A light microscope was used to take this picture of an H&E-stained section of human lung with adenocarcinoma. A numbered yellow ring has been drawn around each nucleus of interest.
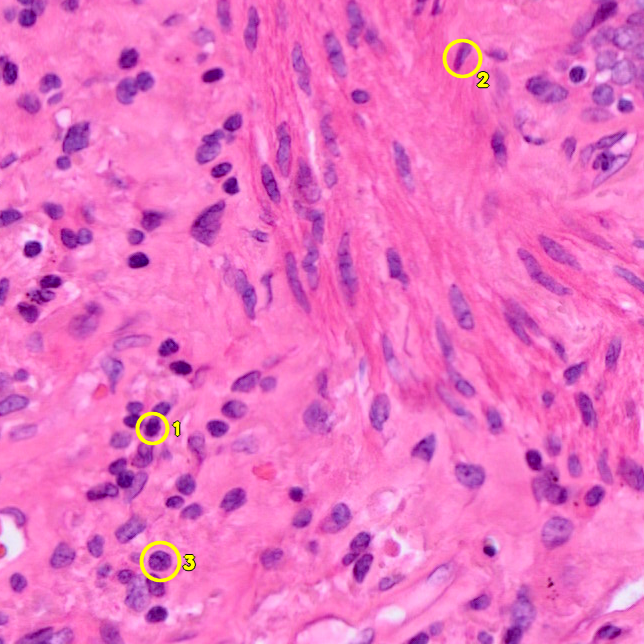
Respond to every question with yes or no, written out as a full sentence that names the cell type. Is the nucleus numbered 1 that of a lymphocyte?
Yes, the cell that goes by number 1 is a lymphocyte.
